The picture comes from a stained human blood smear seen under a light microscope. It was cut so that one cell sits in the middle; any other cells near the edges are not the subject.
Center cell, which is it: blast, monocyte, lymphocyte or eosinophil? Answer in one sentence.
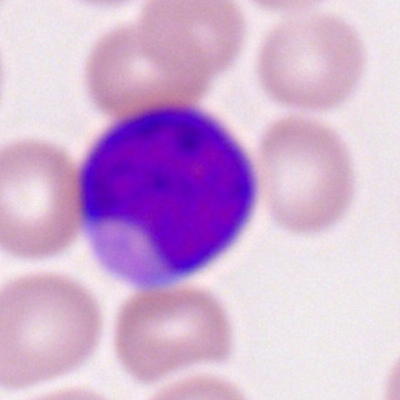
The cell of interest, located centrally, is a blast.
